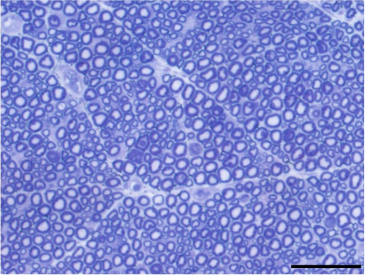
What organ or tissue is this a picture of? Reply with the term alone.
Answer: Nerve.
